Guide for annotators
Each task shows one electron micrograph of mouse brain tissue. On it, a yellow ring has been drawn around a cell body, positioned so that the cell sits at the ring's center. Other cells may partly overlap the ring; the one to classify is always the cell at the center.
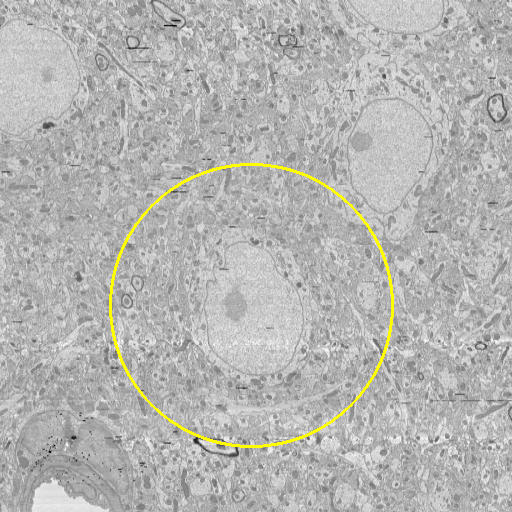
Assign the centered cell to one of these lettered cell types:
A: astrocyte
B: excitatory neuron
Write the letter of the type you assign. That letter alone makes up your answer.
B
